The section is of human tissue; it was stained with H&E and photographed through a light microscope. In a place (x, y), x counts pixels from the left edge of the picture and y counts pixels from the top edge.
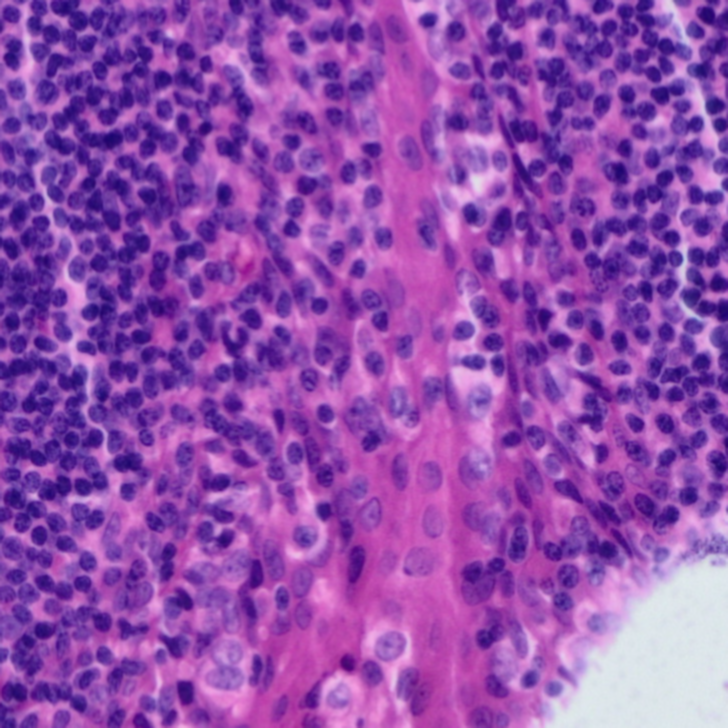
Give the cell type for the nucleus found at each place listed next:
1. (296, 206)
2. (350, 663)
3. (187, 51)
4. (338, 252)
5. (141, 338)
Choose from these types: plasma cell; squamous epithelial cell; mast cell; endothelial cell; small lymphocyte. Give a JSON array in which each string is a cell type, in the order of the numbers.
["plasma cell", "squamous epithelial cell", "plasma cell", "plasma cell", "small lymphocyte"]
